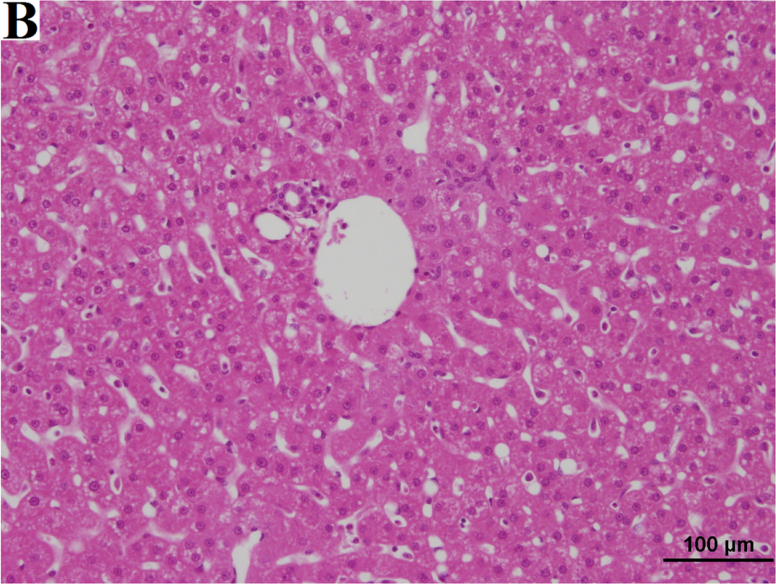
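Liver tissue with hepatocytes arranged in plates of polygonal cells with pink, somewhat pale and granular cytoplasm and round nuclei, separated by clear sinusoidal spaces that are prominent throughout the field. A large round vessel sits at the center, with a smaller vessel and a small cluster of dark-nucleated cells beside it on the left. Round, sharply bounded clear spaces of various sizes lie scattered among the hepatocytes, consistent with fat droplets, and make up a small part of the tissue. Many hepatocytes show a lightly vacuolated cytoplasm.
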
